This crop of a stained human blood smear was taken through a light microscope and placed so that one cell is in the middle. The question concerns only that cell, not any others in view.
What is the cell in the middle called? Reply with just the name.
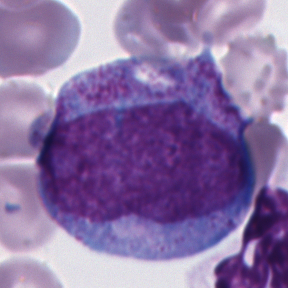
promyelocyte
